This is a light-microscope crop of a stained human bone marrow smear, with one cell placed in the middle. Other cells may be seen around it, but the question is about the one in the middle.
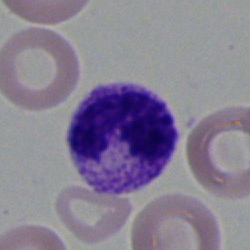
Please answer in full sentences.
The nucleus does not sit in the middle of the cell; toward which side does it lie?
The nucleus is pushed toward the top of the cell.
